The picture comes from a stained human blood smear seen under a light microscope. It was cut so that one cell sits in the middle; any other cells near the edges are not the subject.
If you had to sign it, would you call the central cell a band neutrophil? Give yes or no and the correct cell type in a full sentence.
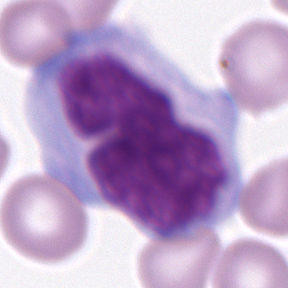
No, the centre of the crop is taken up by a monocyte, not a band neutrophil.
